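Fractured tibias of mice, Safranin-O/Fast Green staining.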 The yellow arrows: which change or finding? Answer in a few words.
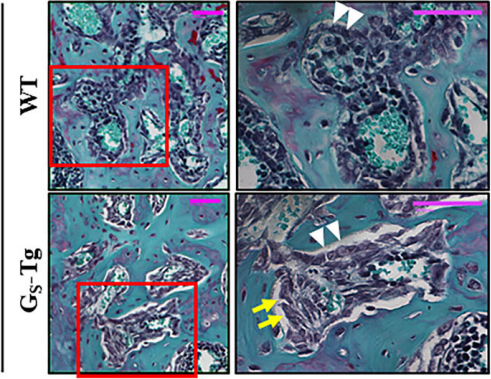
Fibrosis.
